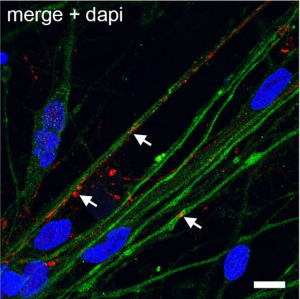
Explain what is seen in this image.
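Cultured neurons in which many long green processes run roughly parallel, diagonally across the field, some of them beaded. Between them lie several oval blue nuclei, some elongated along the direction of the fibres, with a faint green cell body around one of them.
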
